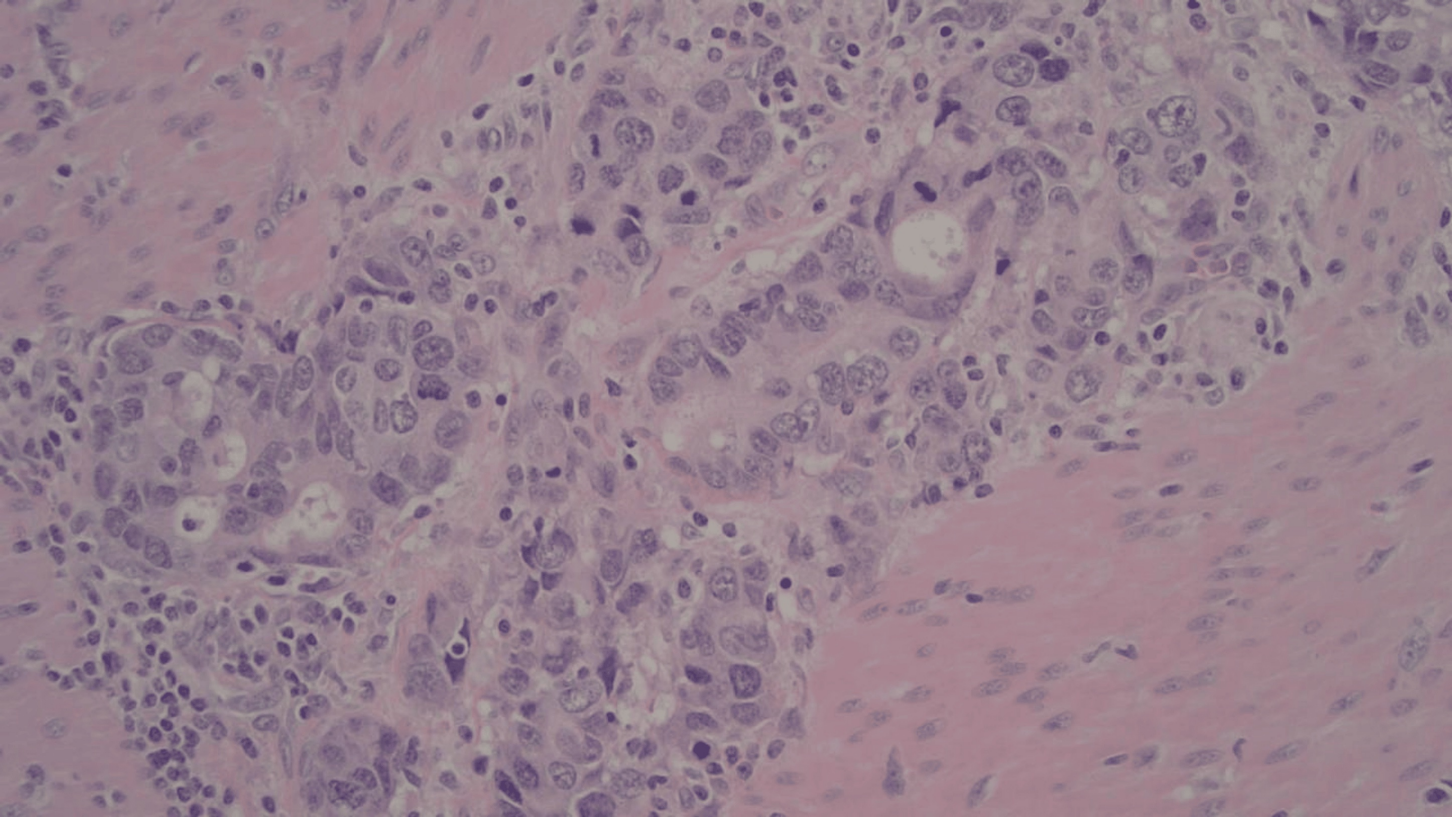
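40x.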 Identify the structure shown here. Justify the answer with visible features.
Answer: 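Small, irregular lumina lie within solid cell nests rather than in well-formed tubules.
Answer: poorly formed glands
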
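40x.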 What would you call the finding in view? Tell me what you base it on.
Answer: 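Invasive adenocarcinoma. Irregular nests of large epithelial cells run through bundles of pink, spindle-celled muscle-like tissue. Some nests enclose small round lumina.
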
